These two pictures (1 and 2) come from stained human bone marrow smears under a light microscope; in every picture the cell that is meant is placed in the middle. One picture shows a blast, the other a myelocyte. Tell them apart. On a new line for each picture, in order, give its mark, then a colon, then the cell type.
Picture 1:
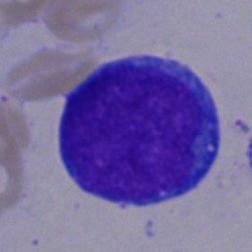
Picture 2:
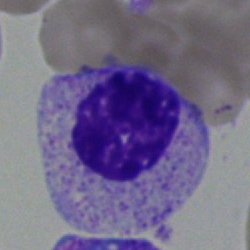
1: blast
2: myelocyte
